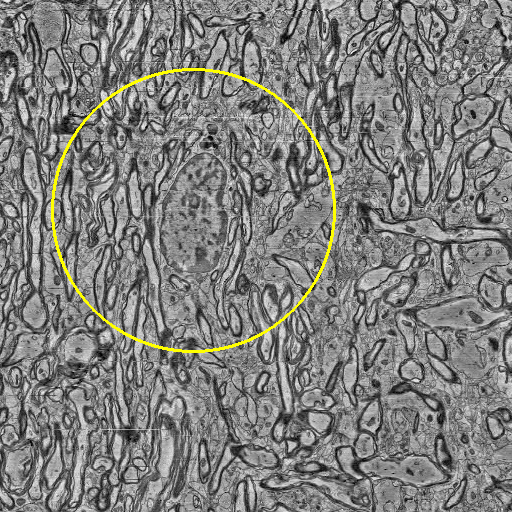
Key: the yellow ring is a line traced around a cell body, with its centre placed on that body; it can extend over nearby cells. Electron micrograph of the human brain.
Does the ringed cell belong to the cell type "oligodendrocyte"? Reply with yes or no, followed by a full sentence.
No, the cell at the centre of the yellow ring in the picture is of another type.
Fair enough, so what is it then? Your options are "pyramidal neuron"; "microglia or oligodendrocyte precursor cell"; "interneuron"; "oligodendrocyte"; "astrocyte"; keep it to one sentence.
Instead, the cell at the centre of the ring is a microglial cell or oligodendrocyte precursor cell.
